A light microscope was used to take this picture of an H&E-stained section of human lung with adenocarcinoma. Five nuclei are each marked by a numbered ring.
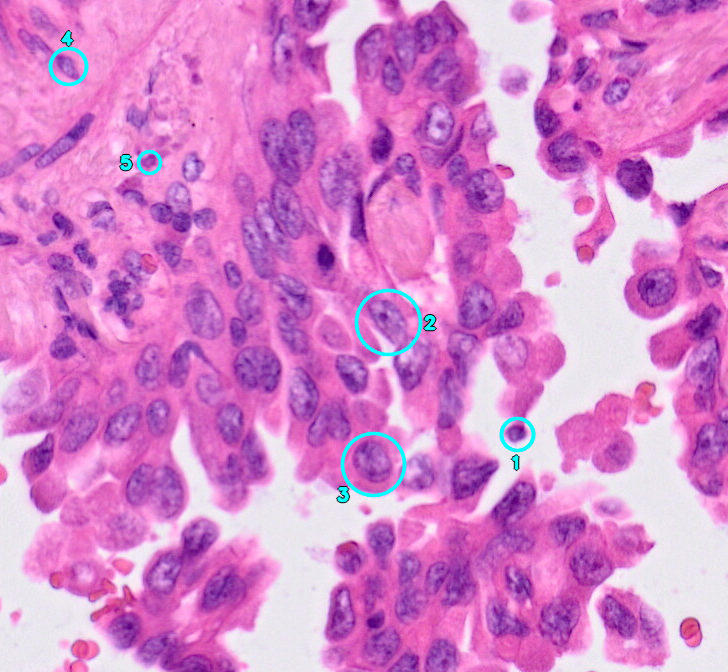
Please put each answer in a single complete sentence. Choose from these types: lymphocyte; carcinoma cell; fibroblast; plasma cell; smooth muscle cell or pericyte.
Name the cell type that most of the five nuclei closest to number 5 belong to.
Most of the five nuclei nearest to number 5 are those of fibroblasts.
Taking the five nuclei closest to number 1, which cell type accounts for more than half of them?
Most of the five nuclei nearest to number 1 are those of carcinoma cells.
